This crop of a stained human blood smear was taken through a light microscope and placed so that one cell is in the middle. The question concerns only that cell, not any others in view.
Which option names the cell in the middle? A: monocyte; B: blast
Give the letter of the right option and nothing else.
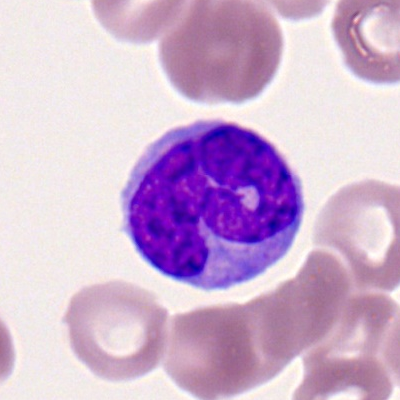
A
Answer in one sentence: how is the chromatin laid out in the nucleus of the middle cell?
This nucleus has coarsely clumped chromatin.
